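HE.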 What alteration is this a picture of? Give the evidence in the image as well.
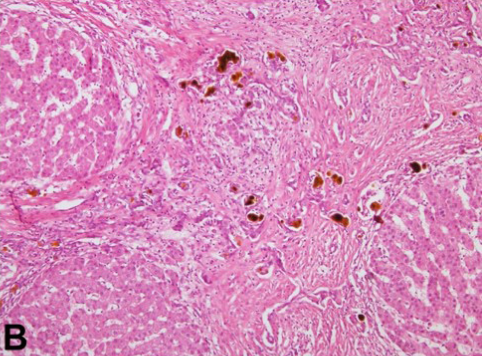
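Ductular reaction. Numerous small, irregular duct-like profiles lie in the fibrous band. These ductules cluster at the edge of the hepatocyte nodules.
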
